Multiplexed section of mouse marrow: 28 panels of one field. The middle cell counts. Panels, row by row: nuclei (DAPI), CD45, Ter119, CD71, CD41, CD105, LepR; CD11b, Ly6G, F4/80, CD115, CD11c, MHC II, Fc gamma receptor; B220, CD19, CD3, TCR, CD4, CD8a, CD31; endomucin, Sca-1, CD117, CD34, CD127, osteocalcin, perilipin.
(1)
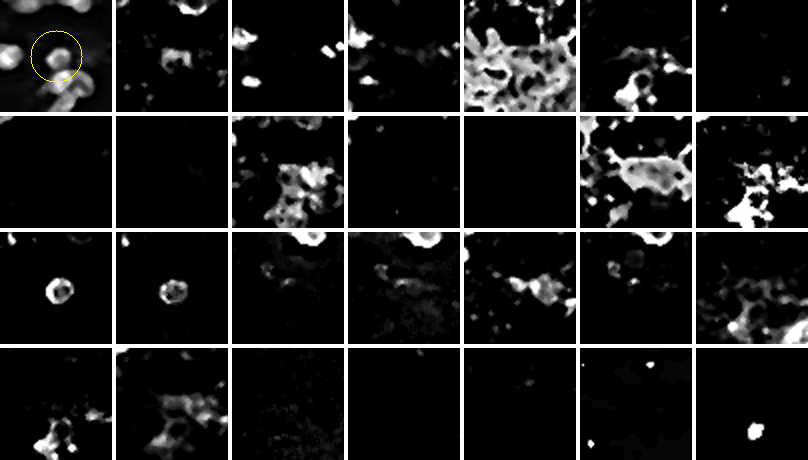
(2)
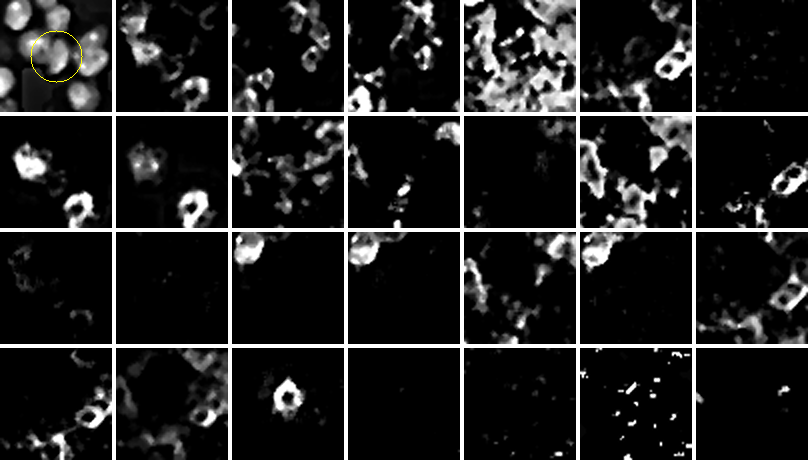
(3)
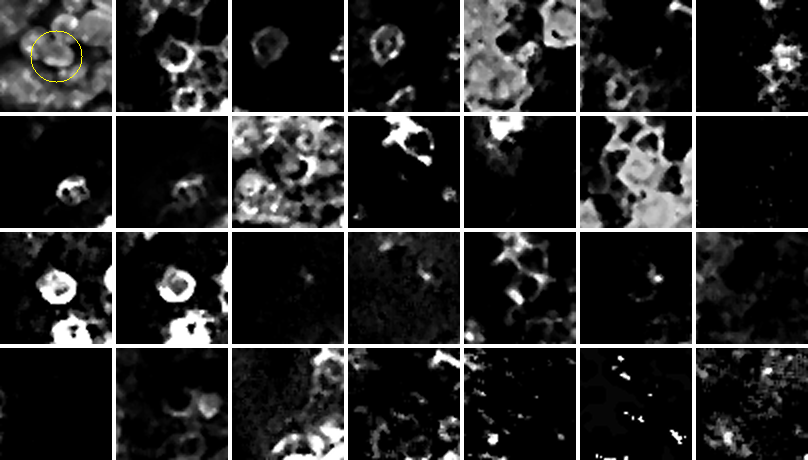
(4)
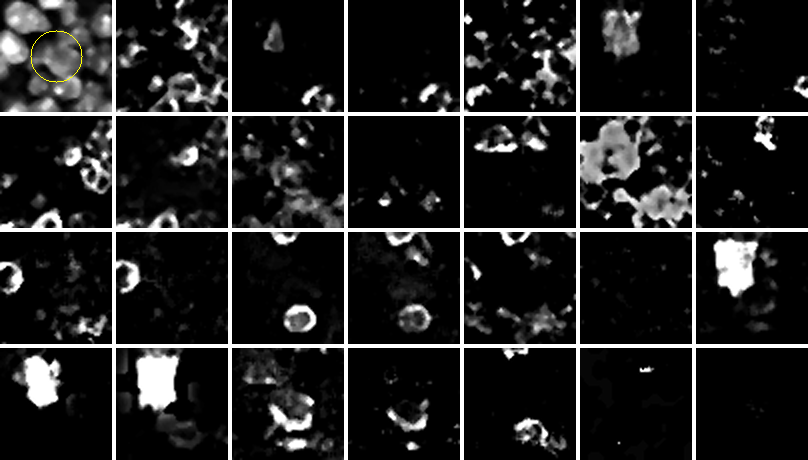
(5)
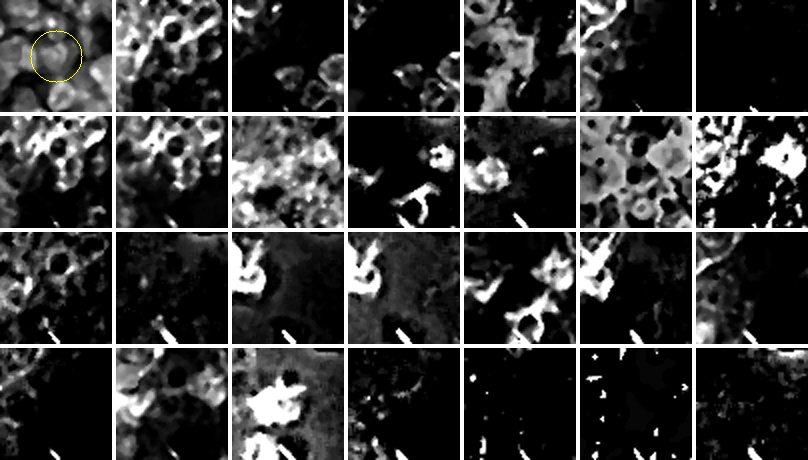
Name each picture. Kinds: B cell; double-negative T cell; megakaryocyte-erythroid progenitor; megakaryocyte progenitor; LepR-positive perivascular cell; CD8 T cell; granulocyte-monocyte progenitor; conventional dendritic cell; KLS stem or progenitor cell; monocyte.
Picture 1: B cell
Picture 2: megakaryocyte-erythroid progenitor
Picture 3: B cell
Picture 4: KLS stem or progenitor cell
Picture 5: megakaryocyte progenitor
